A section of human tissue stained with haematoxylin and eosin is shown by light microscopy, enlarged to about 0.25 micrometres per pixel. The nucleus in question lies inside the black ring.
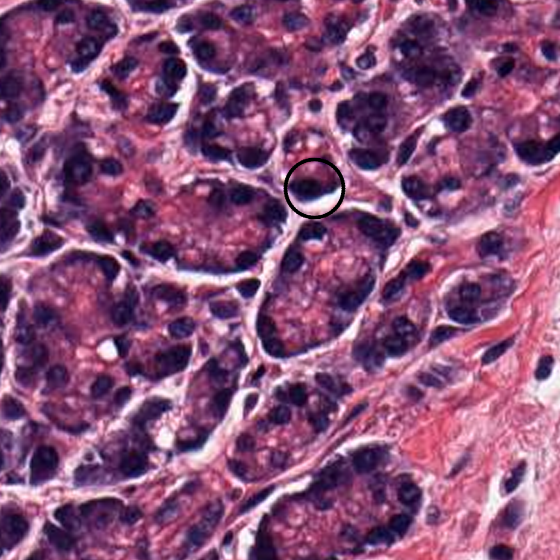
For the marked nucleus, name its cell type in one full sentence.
The nucleus bearing the mark belongs to a pancreatic acinar cell.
